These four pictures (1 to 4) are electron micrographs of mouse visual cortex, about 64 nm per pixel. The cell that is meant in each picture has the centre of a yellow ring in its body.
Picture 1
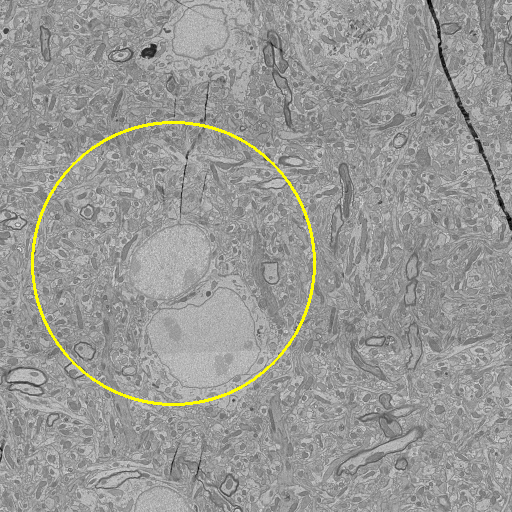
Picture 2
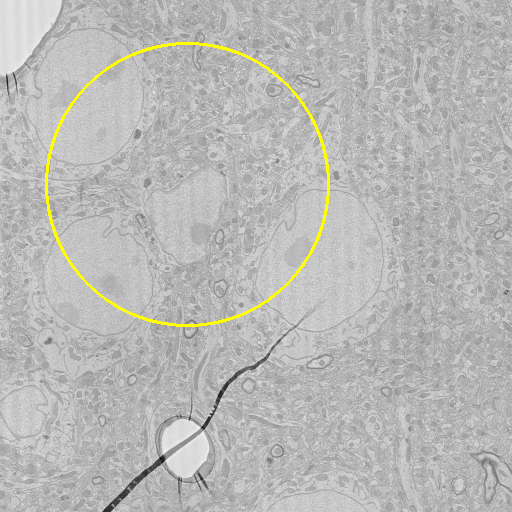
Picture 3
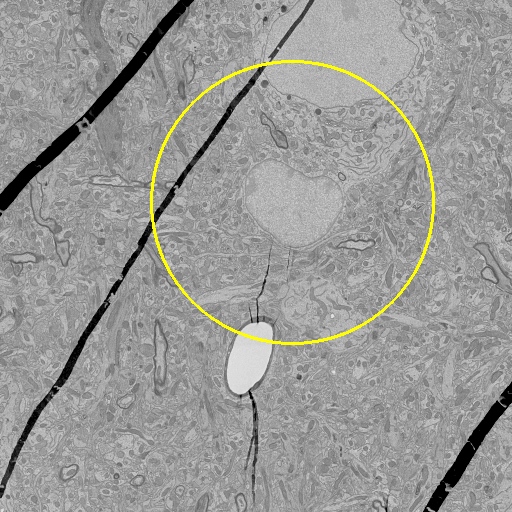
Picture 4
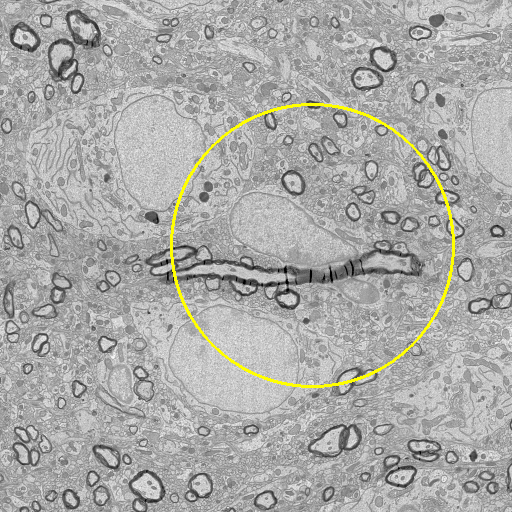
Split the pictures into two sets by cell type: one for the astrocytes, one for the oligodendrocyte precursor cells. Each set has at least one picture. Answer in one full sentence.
Pictures 1 and 3 show astrocytes; pictures 2 and 4 show oligodendrocyte precursor cells.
